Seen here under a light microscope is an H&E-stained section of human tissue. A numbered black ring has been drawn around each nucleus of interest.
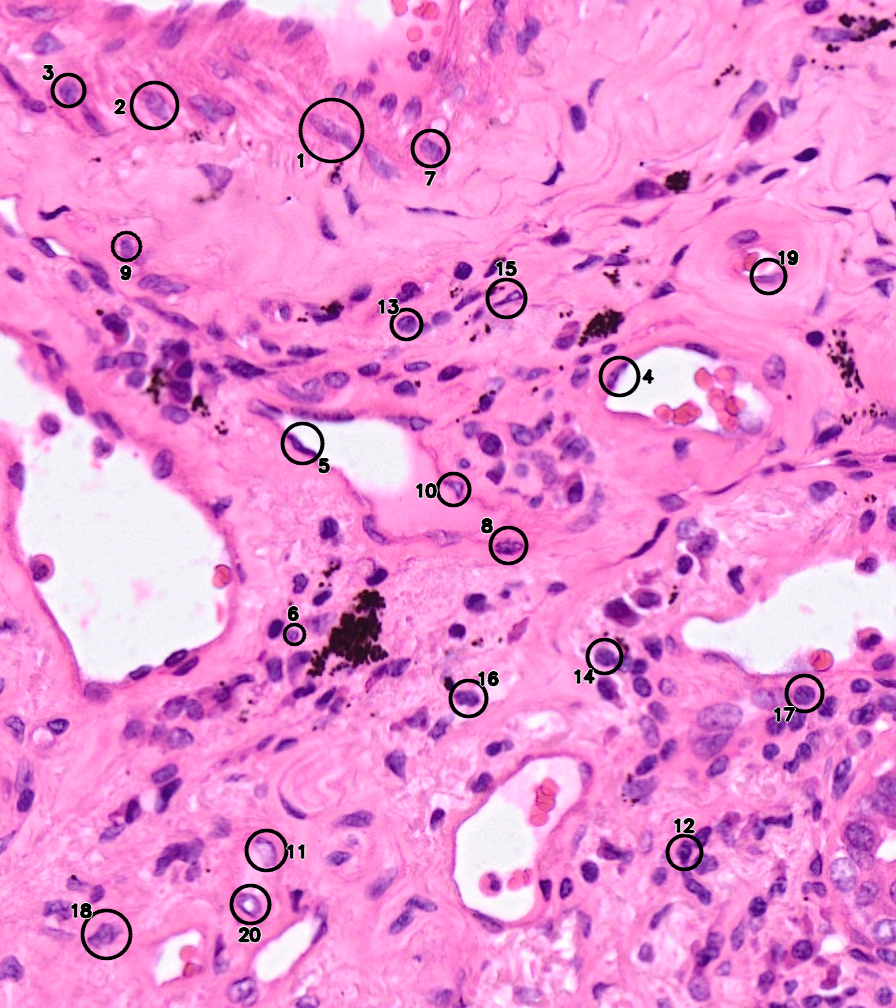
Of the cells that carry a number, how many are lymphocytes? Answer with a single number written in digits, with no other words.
6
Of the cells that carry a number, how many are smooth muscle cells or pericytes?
5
